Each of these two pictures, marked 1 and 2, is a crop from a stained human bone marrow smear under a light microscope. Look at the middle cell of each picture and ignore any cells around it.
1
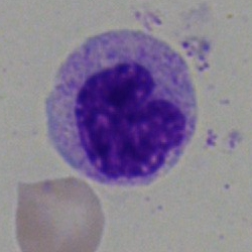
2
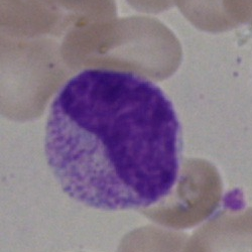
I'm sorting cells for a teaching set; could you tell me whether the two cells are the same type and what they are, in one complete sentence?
Yes, the central cells in both of the crops are metamyelocytes.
